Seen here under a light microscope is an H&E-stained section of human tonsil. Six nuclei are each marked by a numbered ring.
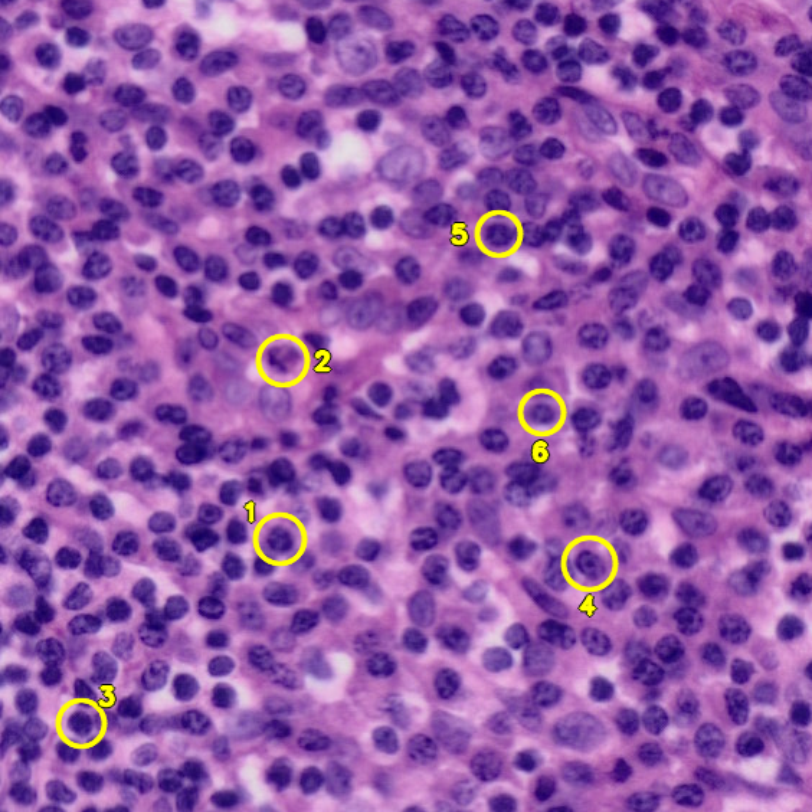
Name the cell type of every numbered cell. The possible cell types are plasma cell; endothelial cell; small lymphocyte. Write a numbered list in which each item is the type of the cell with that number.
1. plasma cell
2. endothelial cell
3. small lymphocyte
4. plasma cell
5. plasma cell
6. plasma cell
